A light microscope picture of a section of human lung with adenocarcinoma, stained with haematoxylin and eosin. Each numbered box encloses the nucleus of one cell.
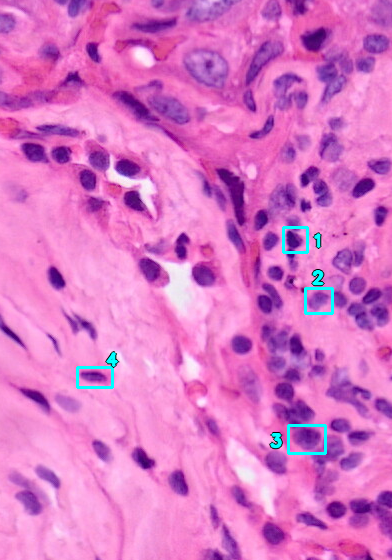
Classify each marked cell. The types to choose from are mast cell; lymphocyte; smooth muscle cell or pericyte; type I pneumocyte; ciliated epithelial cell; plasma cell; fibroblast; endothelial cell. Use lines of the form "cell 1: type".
cell 1: lymphocyte
cell 2: lymphocyte
cell 3: lymphocyte
cell 4: mast cell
